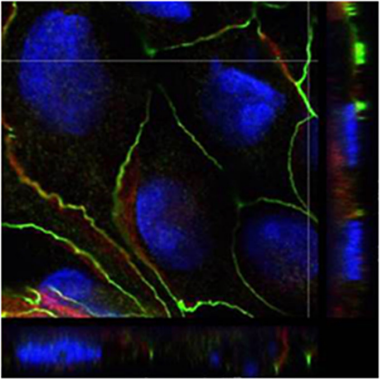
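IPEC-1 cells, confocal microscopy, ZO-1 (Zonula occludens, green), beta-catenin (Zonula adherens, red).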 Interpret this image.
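This is a confluent sheet of cultured epithelial cells seen from above, with orthogonal side views along the bottom and right edges. Large oval blue nuclei lie one per cell, and the cells are broad, flat and irregularly polygonal. A fainter red signal follows parts of the cell borders and the cytoplasm near them, overlapping the green in places. In the side views the layer is thin, and the green appears as short discrete spots where the cell borders are cut across.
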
